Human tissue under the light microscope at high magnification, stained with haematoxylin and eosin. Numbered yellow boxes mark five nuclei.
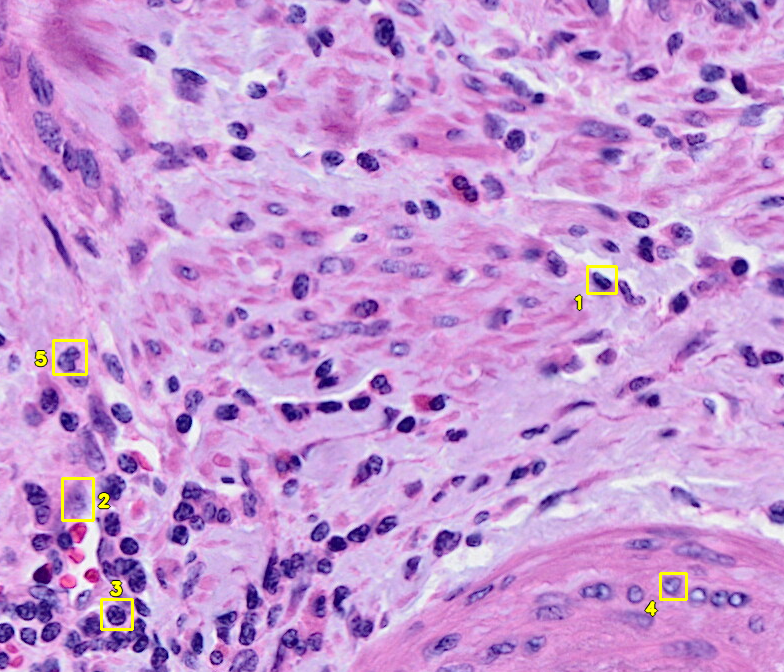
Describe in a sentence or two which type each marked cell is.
Cells 1, 3 and 5 are lymphocytes. Cell 2 is an endothelial cell. Cell 4 is a smooth muscle cell.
